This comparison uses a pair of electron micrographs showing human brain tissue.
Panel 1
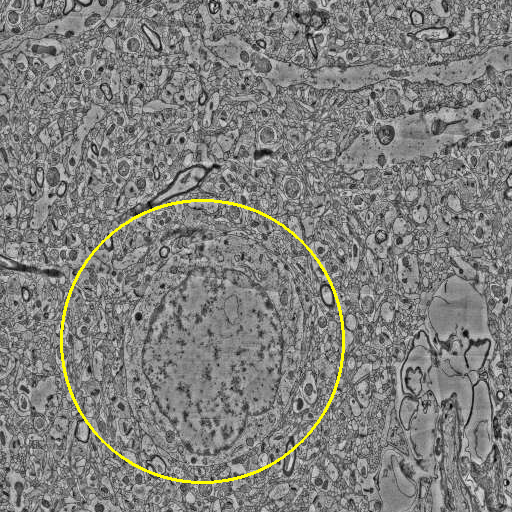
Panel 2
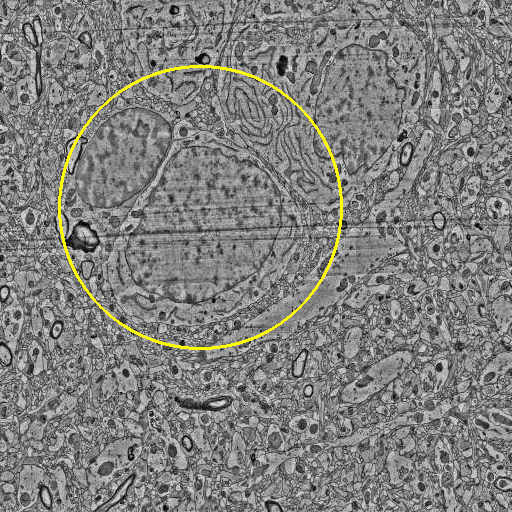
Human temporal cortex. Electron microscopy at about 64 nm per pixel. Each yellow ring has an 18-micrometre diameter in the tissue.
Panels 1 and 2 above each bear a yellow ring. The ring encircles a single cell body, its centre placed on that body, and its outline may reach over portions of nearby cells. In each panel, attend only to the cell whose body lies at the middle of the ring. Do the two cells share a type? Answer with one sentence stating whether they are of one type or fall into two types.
In Panel 1 and Panel 2, the cells at the centres of the rings are of one type.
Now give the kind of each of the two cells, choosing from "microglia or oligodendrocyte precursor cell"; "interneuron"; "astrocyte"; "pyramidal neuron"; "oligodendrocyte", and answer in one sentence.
Each one of the two ringed cells is an interneuron.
